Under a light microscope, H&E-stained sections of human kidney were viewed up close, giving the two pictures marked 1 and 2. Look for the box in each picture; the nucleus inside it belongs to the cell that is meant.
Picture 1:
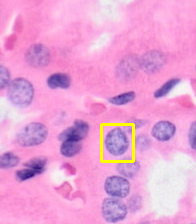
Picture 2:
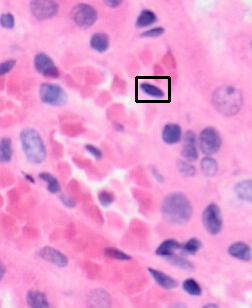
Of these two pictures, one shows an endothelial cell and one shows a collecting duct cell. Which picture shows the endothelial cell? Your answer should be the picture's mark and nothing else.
2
